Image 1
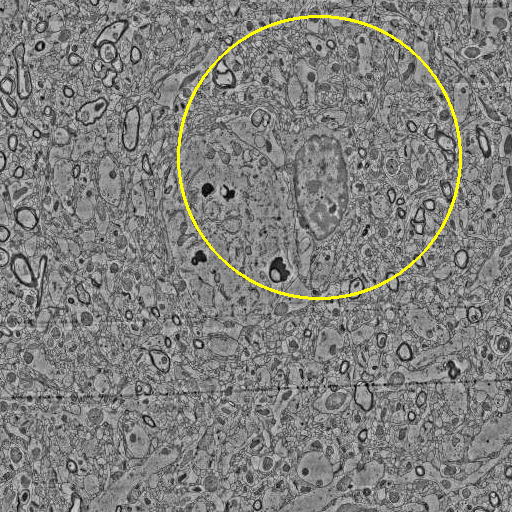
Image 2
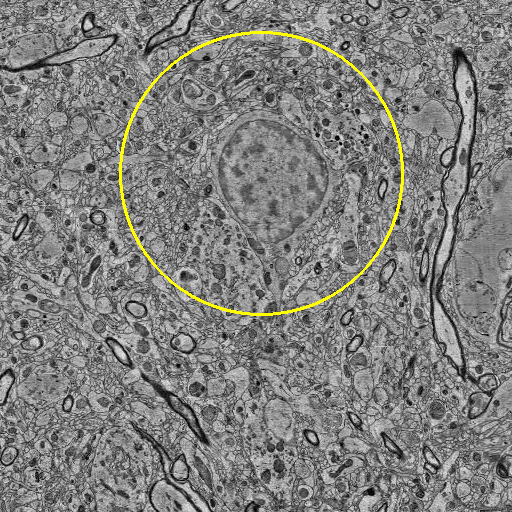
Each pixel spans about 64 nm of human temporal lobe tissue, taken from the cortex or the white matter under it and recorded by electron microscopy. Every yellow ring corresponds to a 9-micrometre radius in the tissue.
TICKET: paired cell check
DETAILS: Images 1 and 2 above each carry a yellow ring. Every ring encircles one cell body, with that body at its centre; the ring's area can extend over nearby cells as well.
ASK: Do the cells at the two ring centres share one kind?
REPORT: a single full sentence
Yes, the ring-centre cells of Images 1 and 2 belong to a single kind.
